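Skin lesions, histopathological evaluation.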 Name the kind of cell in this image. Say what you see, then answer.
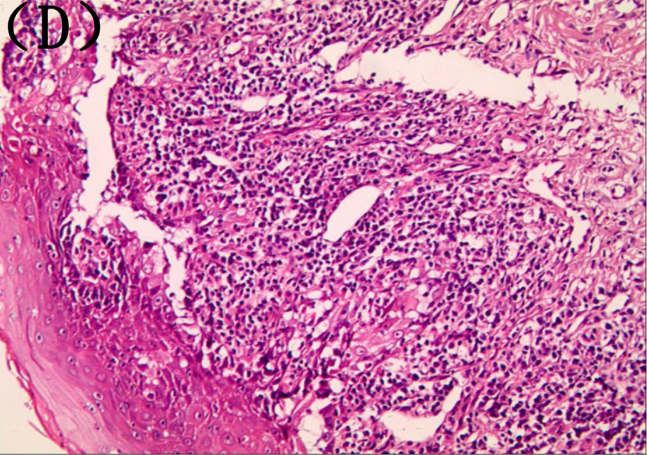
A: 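Lymphocytes and plasma cells. Many small round cells with dark round nuclei crowd the dermis below the epidermis.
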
